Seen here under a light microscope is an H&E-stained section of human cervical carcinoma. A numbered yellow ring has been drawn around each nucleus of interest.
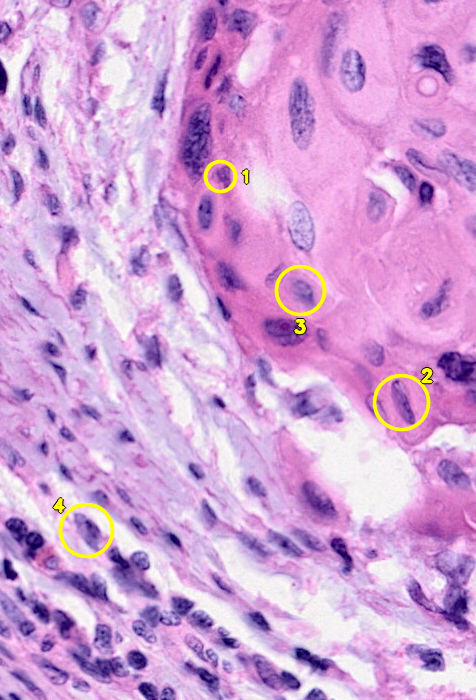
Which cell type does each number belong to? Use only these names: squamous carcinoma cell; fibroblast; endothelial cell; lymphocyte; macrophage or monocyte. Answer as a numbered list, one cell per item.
1. squamous carcinoma cell
2. squamous carcinoma cell
3. squamous carcinoma cell
4. macrophage or monocyte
